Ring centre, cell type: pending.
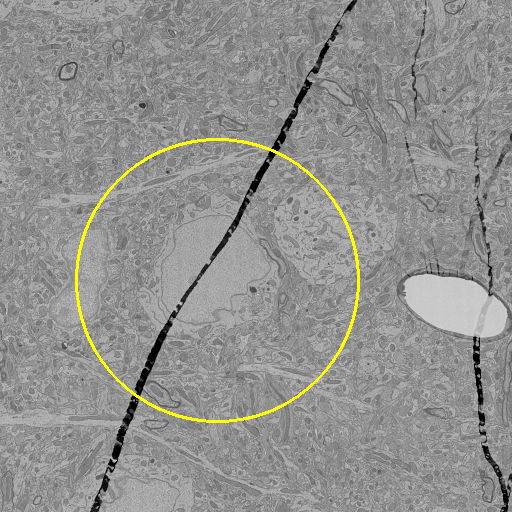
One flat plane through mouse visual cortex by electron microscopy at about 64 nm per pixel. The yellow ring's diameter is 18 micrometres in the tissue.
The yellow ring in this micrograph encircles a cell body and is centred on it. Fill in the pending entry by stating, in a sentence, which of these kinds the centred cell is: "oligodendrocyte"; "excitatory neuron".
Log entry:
The centred cell is recorded as an excitatory neuron.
